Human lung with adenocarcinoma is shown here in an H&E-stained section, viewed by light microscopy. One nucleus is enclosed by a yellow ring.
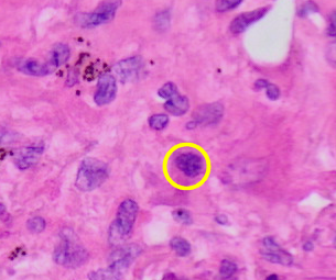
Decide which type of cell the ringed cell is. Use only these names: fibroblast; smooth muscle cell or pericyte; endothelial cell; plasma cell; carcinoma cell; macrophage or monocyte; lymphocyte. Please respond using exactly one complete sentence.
On this particular slide, the ringed cell is a plasma cell.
